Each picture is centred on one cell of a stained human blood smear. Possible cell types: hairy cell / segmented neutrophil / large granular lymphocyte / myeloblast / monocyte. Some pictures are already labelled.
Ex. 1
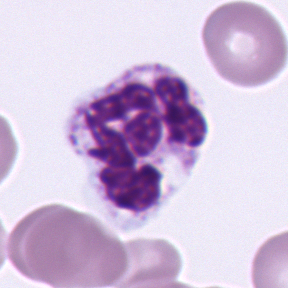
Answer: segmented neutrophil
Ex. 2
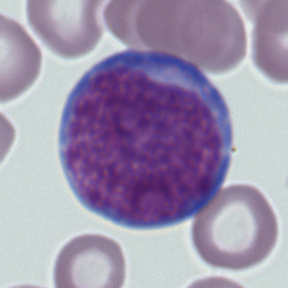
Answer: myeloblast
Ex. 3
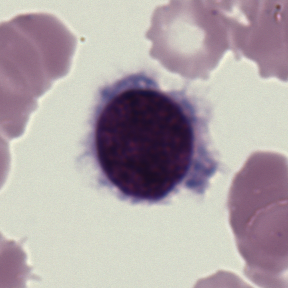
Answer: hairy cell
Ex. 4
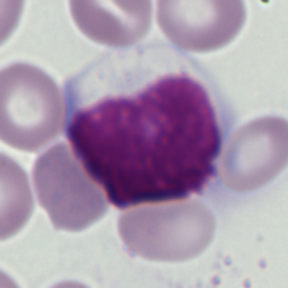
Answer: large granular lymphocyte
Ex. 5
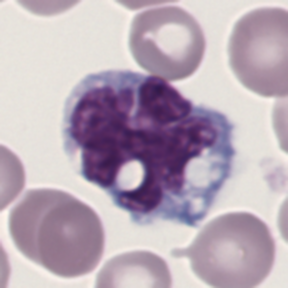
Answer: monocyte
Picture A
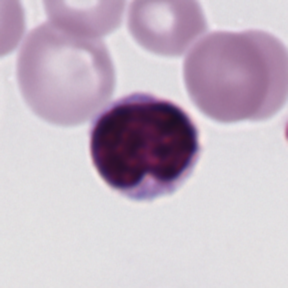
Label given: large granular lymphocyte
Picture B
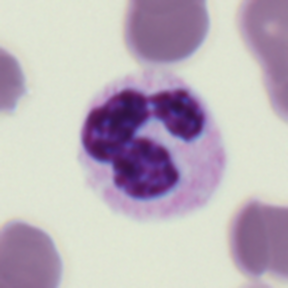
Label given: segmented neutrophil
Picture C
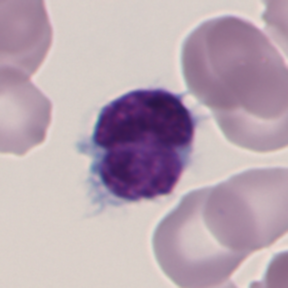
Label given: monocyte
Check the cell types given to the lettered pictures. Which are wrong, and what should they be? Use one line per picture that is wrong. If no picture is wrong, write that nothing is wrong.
C: change monocyte to hairy cell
